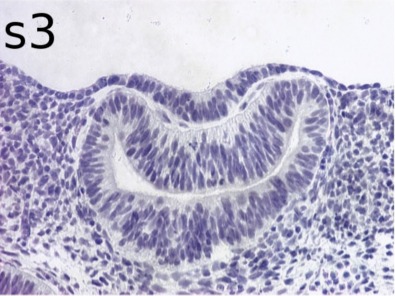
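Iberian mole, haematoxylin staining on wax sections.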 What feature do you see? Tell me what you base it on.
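Lens placode. The surface epithelium is thickened into a shallow curved plate of tall crowded cells. The thickened plate lies against a curved underlying epithelial layer.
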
